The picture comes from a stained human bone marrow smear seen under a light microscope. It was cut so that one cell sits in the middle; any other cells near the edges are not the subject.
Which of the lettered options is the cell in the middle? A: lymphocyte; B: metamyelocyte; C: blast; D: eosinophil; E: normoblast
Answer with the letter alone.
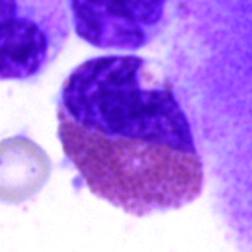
D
